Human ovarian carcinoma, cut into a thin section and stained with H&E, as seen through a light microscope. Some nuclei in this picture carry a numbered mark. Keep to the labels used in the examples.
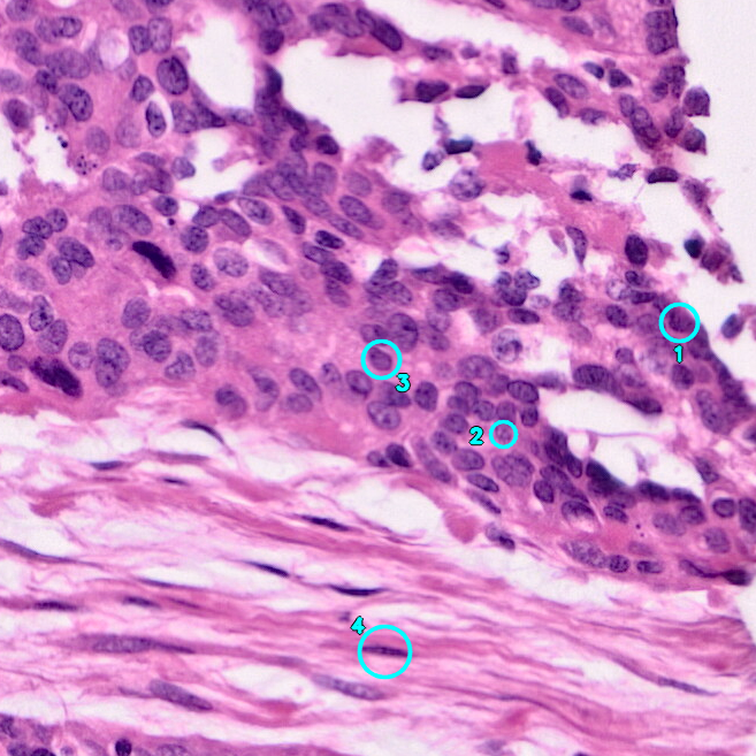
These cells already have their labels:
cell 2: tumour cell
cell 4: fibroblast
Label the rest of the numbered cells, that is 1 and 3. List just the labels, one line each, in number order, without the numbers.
tumour cell
tumour cell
